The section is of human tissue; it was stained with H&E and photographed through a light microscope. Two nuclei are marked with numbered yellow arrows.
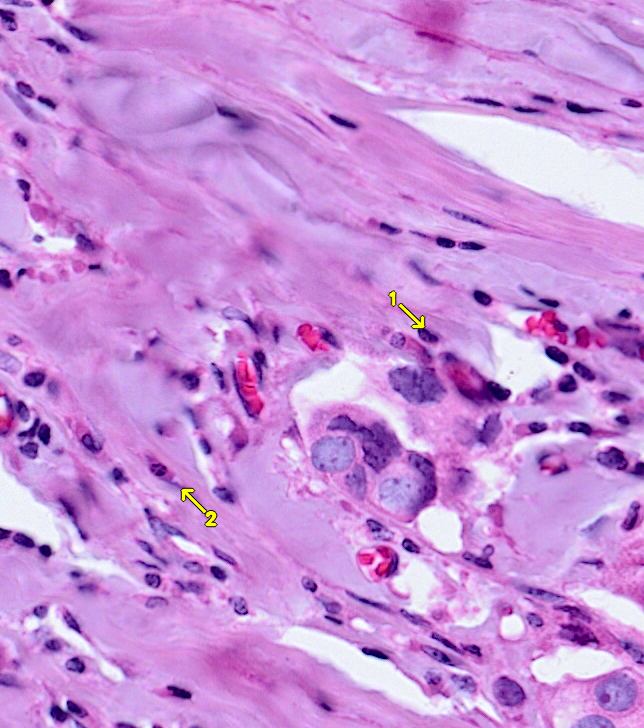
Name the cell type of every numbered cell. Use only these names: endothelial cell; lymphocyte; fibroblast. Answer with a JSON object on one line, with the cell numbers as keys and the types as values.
{"1": "lymphocyte", "2": "fibroblast"}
